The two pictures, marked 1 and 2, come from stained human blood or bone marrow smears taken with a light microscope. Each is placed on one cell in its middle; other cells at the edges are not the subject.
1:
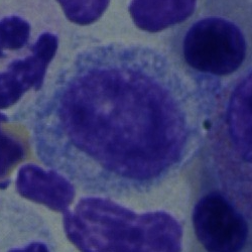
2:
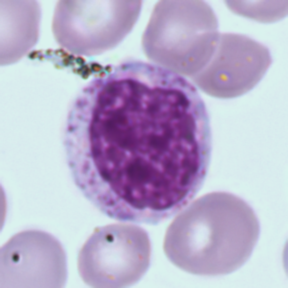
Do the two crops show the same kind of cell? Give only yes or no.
yes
